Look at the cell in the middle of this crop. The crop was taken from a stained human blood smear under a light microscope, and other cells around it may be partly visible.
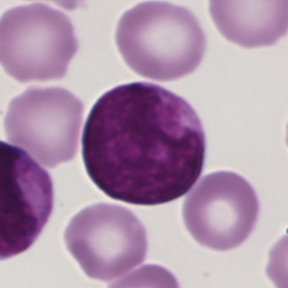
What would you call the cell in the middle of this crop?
myeloblast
